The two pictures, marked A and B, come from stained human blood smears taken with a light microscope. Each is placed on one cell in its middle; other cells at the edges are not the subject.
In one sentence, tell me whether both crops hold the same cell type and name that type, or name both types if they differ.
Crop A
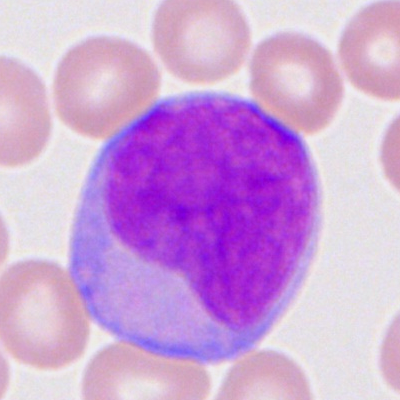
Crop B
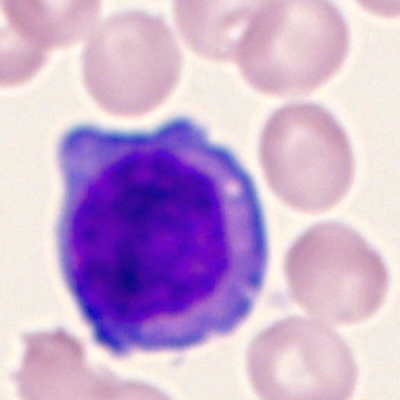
Yes, the central cells in both of the crops are myeloblasts.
